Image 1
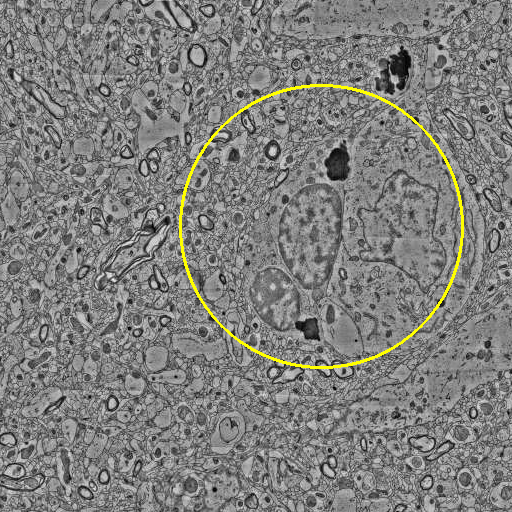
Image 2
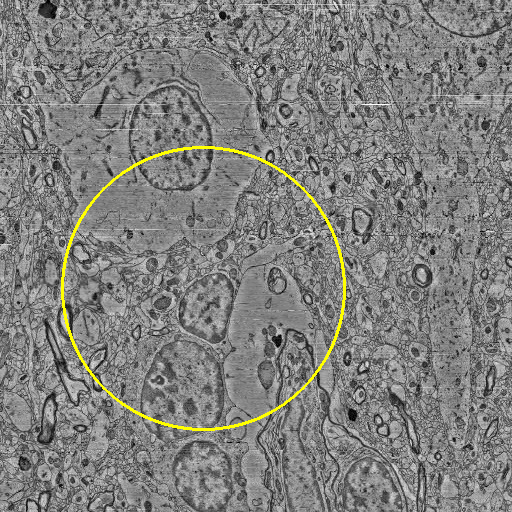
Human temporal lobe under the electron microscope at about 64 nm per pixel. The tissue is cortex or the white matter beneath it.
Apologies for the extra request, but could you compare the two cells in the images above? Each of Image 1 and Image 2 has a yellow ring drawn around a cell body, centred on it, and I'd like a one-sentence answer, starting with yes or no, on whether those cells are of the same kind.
No, the two cells are of two kinds.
